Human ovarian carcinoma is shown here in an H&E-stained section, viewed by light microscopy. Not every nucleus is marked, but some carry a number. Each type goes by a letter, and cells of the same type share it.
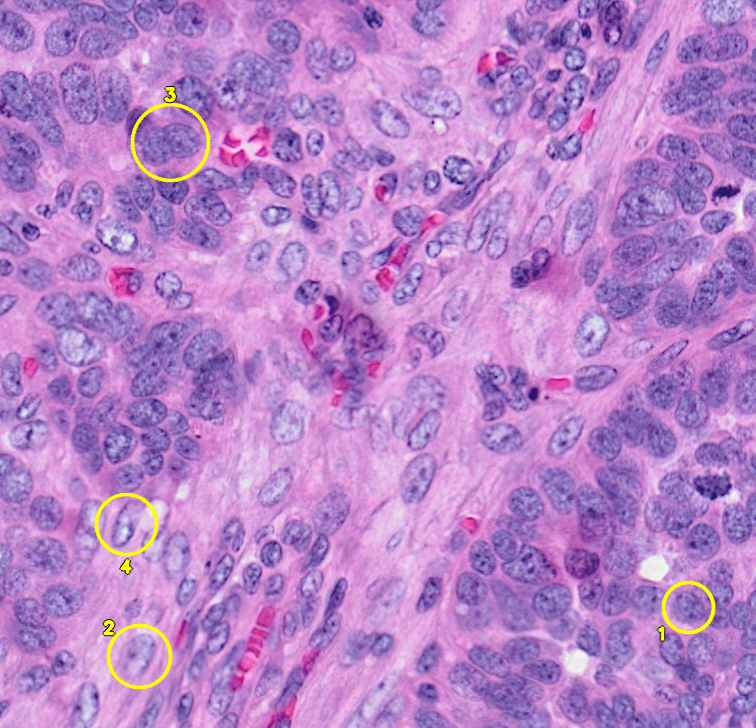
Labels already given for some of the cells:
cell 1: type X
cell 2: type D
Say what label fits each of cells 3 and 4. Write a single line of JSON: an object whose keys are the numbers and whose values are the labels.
{"3": "type X", "4": "type D"}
